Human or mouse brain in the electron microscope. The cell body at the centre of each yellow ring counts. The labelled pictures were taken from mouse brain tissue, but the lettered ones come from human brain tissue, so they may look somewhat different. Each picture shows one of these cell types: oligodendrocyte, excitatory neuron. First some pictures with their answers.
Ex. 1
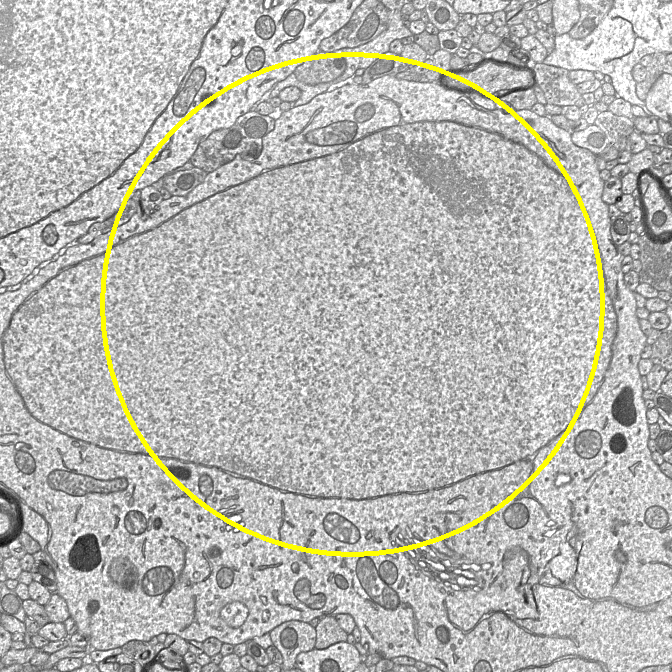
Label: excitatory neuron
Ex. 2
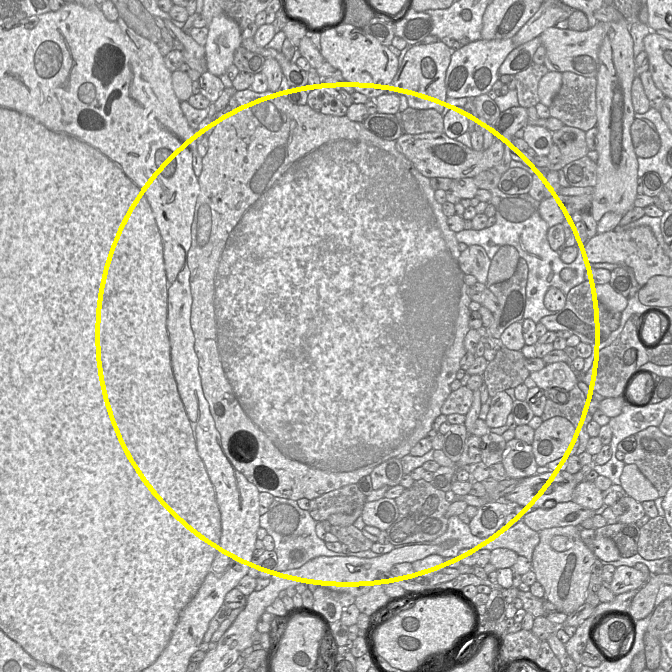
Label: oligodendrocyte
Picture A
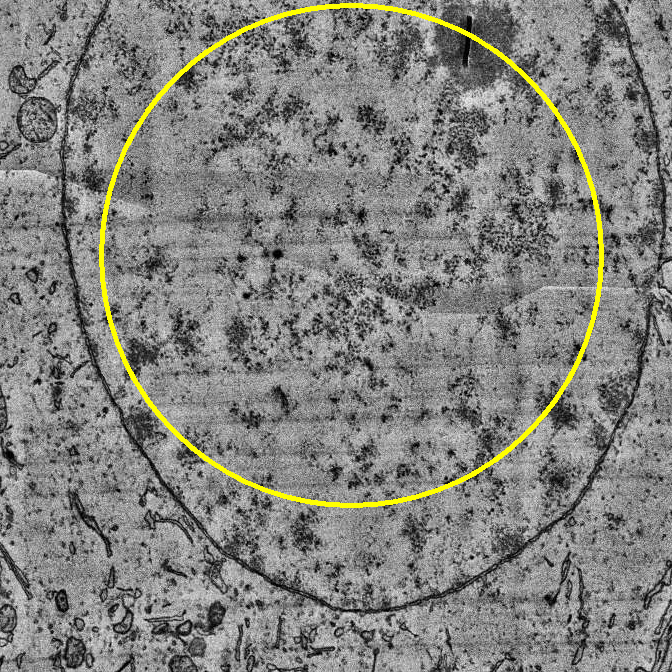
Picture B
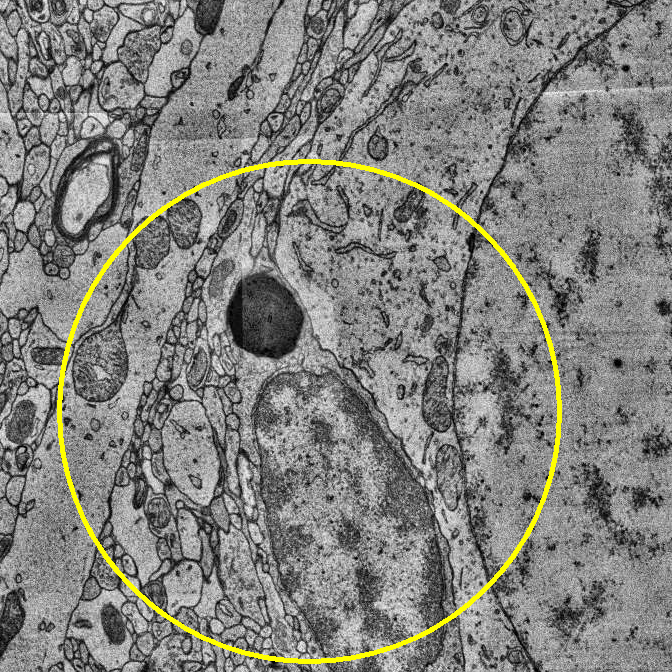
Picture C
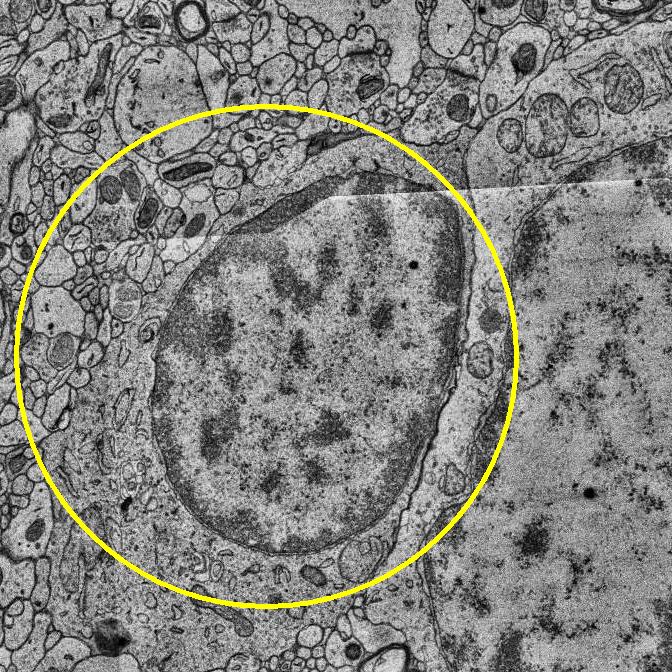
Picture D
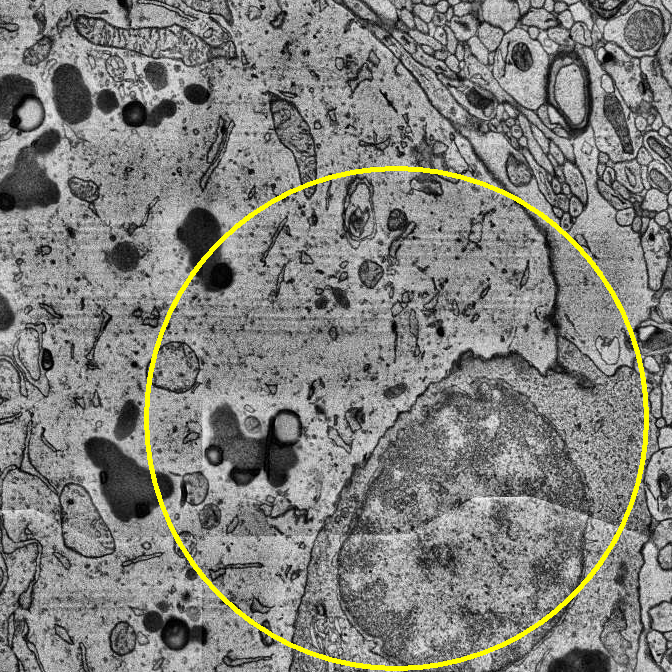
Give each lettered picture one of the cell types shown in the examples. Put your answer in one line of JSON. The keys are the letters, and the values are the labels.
{"A": "excitatory neuron", "B": "oligodendrocyte", "C": "oligodendrocyte", "D": "oligodendrocyte"}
